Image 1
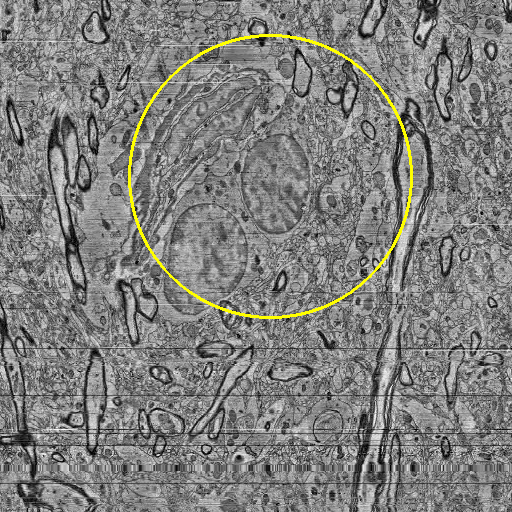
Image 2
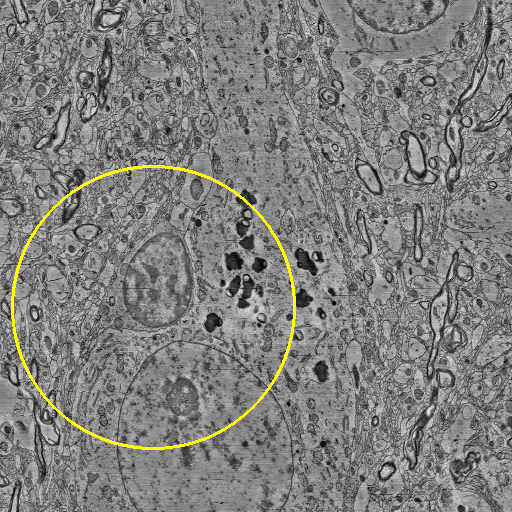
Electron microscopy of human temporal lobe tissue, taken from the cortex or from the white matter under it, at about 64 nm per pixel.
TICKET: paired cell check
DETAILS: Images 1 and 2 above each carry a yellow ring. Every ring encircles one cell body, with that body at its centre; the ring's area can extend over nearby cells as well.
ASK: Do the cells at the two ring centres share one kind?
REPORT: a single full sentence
Yes, the ring-centre cells of Images 1 and 2 belong to a single kind.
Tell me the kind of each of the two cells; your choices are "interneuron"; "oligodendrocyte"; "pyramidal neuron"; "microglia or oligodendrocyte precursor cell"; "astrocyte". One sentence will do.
The first and the second cell are each an oligodendrocyte.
